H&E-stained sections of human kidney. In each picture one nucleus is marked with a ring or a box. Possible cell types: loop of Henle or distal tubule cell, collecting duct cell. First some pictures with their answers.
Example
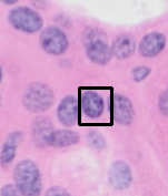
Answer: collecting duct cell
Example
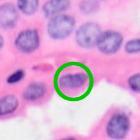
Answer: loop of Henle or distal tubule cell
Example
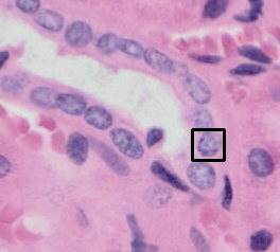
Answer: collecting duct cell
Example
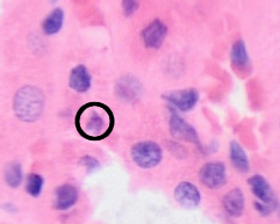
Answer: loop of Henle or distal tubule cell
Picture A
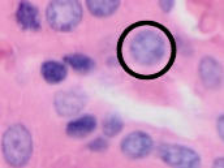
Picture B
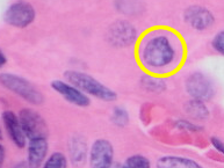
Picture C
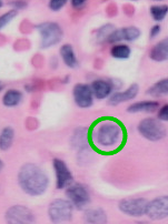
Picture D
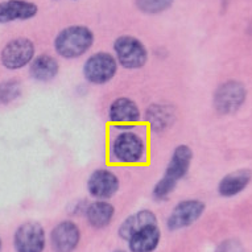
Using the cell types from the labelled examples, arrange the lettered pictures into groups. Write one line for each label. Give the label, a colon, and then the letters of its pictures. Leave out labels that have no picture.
loop of Henle or distal tubule cell: B
collecting duct cell: A, C, D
